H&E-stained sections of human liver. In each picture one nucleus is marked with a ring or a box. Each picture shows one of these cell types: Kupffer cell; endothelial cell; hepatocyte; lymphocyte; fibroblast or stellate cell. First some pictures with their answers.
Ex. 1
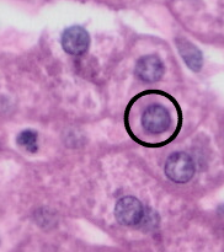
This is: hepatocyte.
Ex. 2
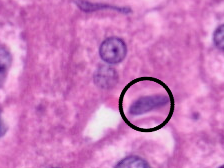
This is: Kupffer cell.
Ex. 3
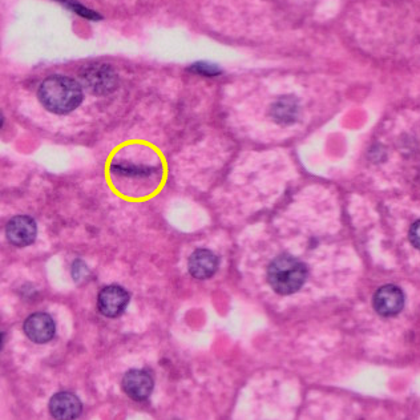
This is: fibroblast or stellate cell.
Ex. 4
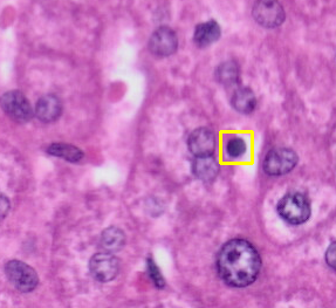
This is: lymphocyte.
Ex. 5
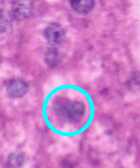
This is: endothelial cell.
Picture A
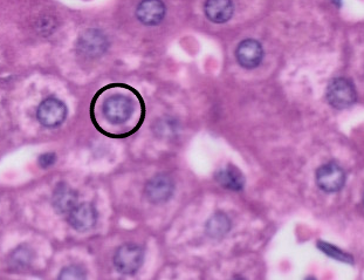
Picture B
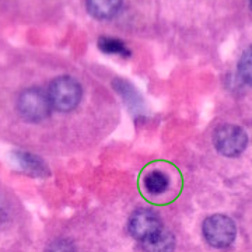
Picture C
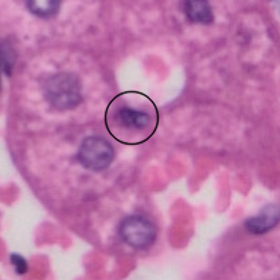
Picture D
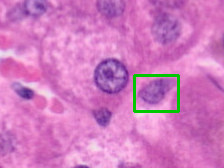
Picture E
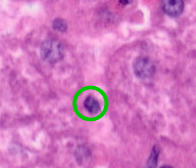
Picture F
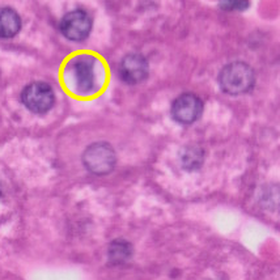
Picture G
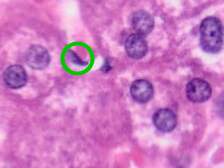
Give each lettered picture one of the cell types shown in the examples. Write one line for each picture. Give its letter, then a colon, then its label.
A: hepatocyte.
B: lymphocyte.
C: fibroblast or stellate cell.
D: Kupffer cell.
E: lymphocyte.
F: Kupffer cell.
G: endothelial cell.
